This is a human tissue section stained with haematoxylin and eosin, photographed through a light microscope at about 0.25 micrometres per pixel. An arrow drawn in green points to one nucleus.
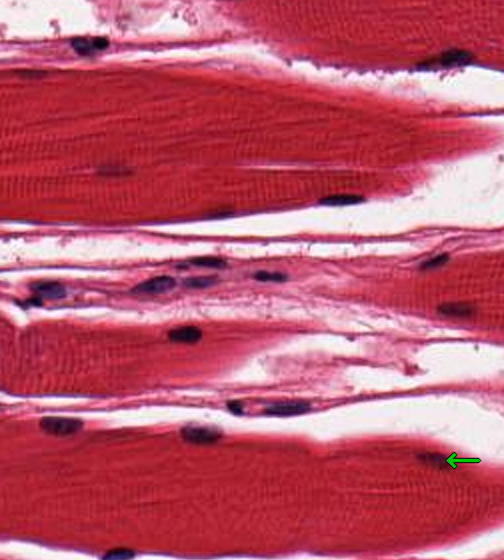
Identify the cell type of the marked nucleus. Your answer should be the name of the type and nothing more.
skeletal muscle fibre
